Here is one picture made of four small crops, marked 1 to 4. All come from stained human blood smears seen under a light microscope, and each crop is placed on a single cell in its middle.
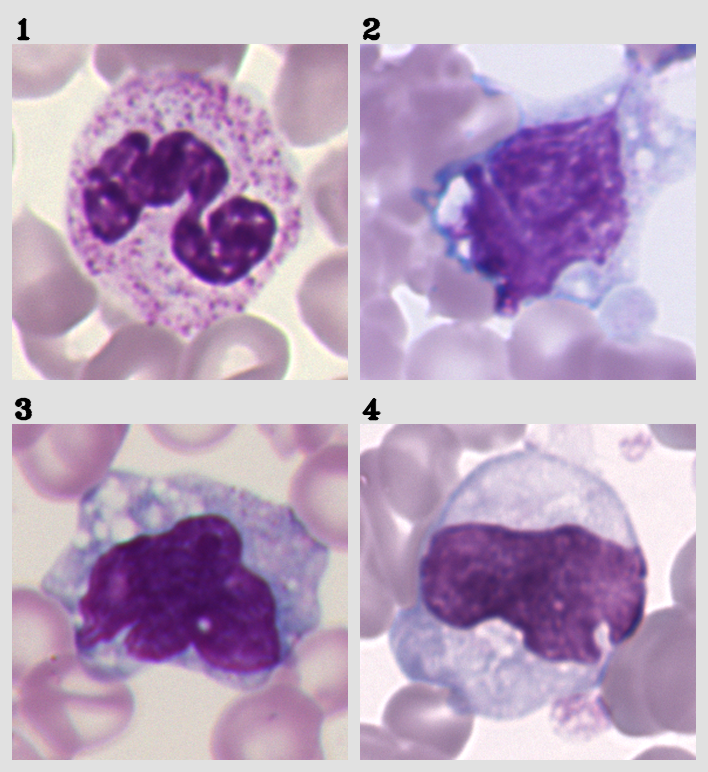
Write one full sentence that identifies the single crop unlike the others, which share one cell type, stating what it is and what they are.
Crop 1 is the only one that is a segmented neutrophil; all the others show monocytes.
